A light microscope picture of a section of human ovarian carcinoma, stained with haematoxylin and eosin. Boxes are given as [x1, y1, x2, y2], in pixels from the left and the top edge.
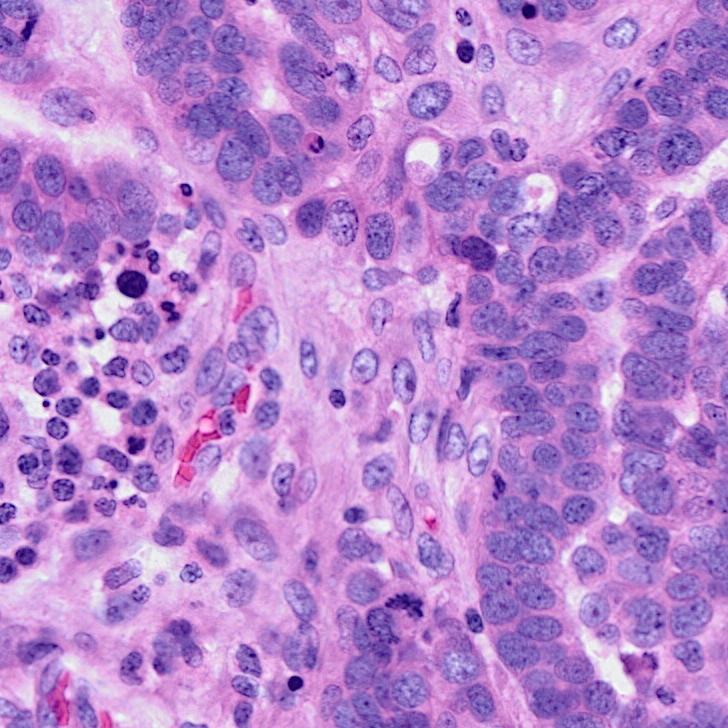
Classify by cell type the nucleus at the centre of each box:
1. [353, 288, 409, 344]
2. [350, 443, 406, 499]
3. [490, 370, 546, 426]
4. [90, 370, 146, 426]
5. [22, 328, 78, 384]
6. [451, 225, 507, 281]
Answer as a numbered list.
1. fibroblast
2. fibroblast
3. carcinoma cell
4. lymphocyte
5. lymphocyte
6. carcinoma cell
